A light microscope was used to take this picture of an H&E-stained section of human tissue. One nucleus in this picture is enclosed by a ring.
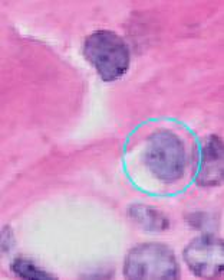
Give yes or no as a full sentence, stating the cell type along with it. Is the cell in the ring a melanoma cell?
No, the cell in the ring is recorded as a carcinoma cell instead of a melanoma cell.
